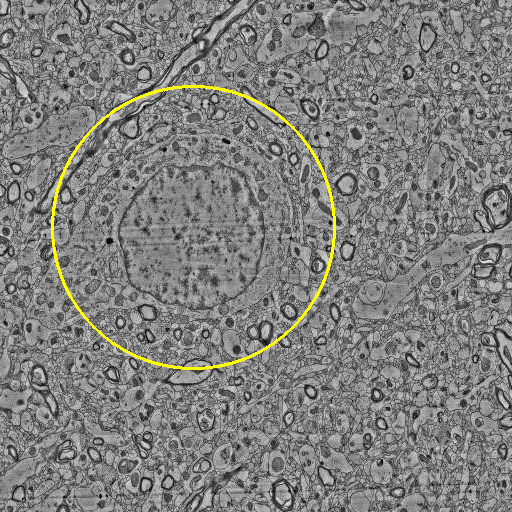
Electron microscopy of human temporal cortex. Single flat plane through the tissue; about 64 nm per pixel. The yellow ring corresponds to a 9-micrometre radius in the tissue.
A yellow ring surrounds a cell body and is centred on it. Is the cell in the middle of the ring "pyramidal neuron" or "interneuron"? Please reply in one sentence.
The ring is centred on an interneuron.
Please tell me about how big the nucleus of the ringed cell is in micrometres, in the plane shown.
In this plane the ringed cell's nucleus is roughly 10 micrometres across.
